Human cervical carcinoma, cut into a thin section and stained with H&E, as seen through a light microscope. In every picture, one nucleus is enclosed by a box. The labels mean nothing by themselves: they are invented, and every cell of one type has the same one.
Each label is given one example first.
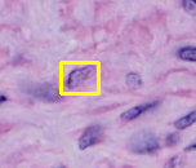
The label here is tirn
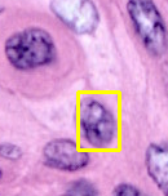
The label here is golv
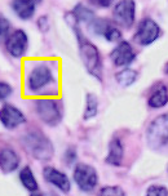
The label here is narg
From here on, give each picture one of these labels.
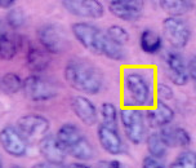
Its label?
golv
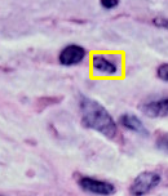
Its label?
narg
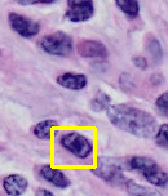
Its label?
narg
